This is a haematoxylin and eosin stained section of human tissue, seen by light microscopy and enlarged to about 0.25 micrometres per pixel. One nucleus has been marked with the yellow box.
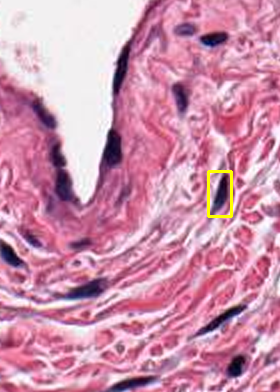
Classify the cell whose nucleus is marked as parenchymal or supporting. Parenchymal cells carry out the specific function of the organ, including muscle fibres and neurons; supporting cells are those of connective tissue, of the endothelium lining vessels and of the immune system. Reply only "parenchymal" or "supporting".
supporting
